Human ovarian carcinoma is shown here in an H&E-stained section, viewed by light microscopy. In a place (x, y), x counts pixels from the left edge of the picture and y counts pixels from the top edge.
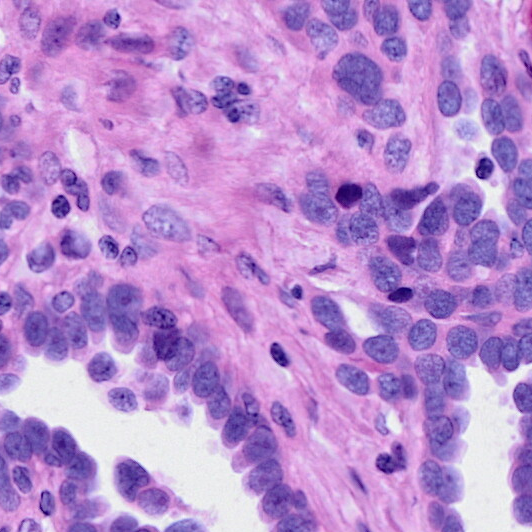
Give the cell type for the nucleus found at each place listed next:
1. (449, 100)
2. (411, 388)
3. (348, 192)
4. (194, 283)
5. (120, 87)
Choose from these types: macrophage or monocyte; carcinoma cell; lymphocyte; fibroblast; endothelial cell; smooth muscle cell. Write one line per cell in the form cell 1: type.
cell 1: carcinoma cell
cell 2: carcinoma cell
cell 3: carcinoma cell
cell 4: fibroblast
cell 5: fibroblast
